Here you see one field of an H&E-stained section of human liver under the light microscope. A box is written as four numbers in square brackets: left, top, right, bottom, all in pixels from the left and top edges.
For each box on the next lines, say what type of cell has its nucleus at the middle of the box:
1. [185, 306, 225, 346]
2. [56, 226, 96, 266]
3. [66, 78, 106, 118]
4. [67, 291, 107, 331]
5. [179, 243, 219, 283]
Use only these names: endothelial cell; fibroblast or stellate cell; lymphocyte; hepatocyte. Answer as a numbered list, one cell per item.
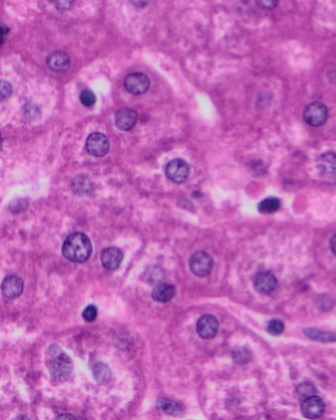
1. hepatocyte
2. hepatocyte
3. lymphocyte
4. lymphocyte
5. hepatocyte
